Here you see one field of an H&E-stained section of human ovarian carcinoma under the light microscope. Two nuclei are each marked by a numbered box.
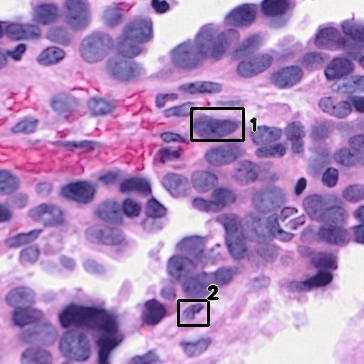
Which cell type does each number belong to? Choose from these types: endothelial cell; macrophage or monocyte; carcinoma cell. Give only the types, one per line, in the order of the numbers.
carcinoma cell
macrophage or monocyte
